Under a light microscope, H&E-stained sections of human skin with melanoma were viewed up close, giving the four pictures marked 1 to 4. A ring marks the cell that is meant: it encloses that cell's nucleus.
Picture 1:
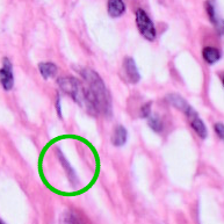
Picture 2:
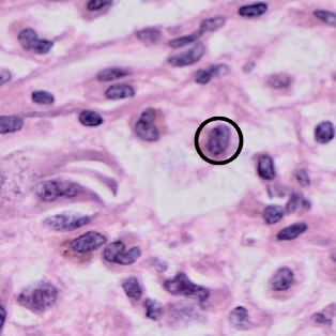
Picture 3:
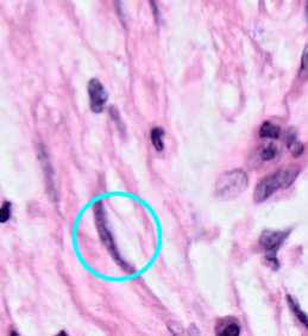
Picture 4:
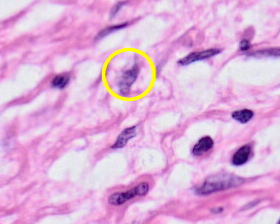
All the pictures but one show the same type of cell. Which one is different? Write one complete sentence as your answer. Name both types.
The others show “fibroblasts or myofibroblasts”, but picture 2 shows a “macrophage or monocyte”.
